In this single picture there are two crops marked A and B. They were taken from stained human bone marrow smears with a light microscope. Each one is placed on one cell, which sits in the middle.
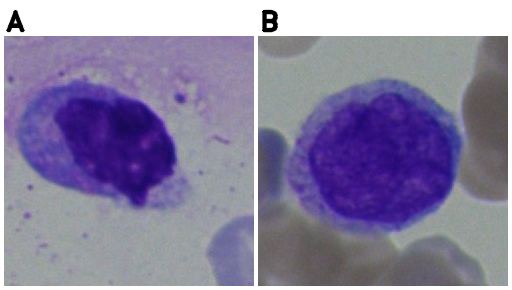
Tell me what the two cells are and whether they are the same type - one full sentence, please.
Yes, the cells that both crops show at the centre are monocytes.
